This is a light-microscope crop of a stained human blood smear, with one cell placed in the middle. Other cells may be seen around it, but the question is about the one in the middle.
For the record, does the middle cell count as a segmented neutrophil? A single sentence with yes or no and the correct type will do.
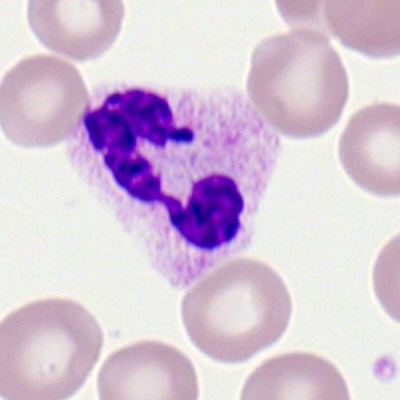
Yes, the cell in the central position is a segmented neutrophil.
